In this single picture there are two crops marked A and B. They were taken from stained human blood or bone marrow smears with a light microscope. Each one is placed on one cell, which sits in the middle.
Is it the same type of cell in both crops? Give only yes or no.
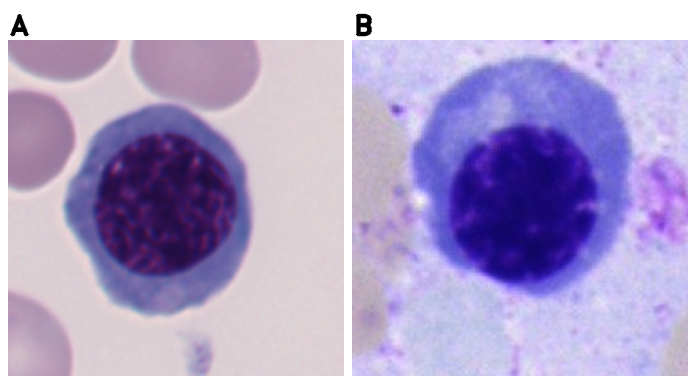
yes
